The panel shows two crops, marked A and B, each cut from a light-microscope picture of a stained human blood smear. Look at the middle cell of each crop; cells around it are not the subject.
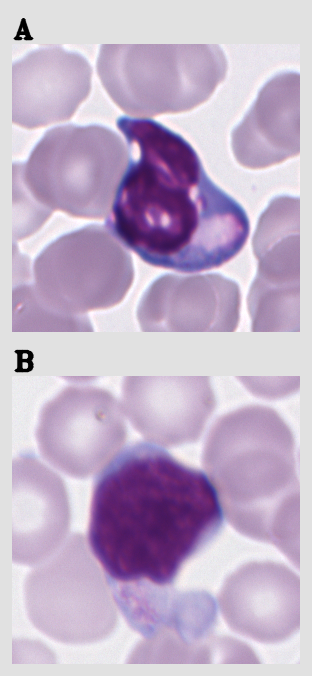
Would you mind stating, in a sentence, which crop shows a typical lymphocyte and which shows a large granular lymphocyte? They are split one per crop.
The cell of crop A is a typical lymphocyte; that of crop B is a large granular lymphocyte.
